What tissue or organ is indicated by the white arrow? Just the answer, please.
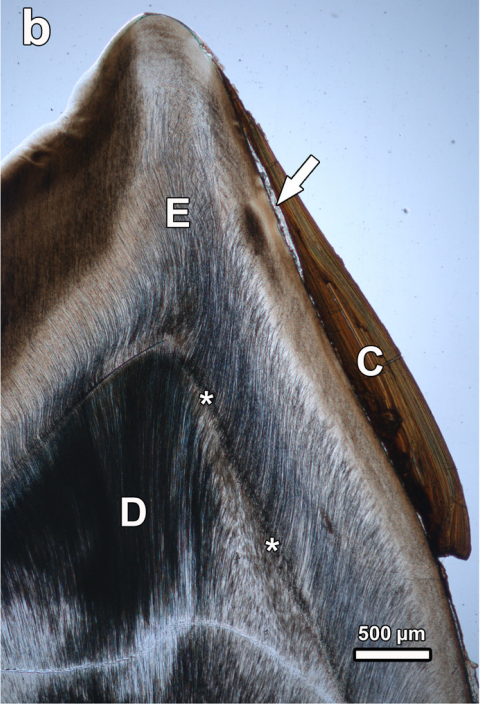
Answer: Thin patch of cementum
